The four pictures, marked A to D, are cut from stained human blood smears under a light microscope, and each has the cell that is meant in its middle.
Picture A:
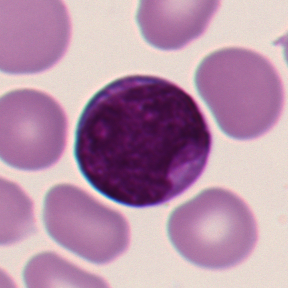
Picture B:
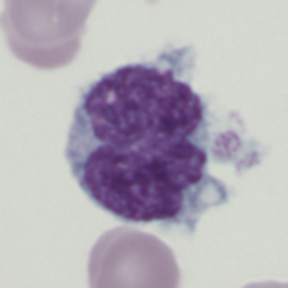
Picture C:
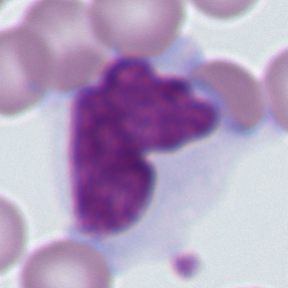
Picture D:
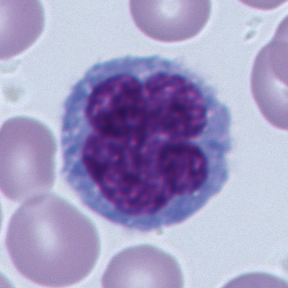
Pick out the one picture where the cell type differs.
A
